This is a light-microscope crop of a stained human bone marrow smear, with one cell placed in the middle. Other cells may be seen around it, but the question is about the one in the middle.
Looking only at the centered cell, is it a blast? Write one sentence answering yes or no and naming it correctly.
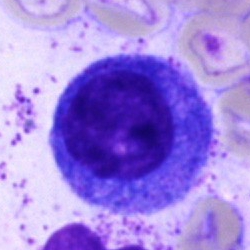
No, it is not a blast that sits at the centre but a promyelocyte.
